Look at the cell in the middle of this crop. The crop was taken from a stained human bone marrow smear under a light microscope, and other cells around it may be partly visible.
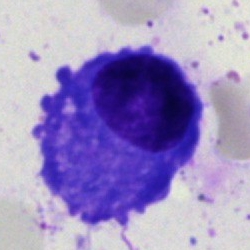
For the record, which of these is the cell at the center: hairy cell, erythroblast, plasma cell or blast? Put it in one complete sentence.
At the middle of the frame sits a plasma cell.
